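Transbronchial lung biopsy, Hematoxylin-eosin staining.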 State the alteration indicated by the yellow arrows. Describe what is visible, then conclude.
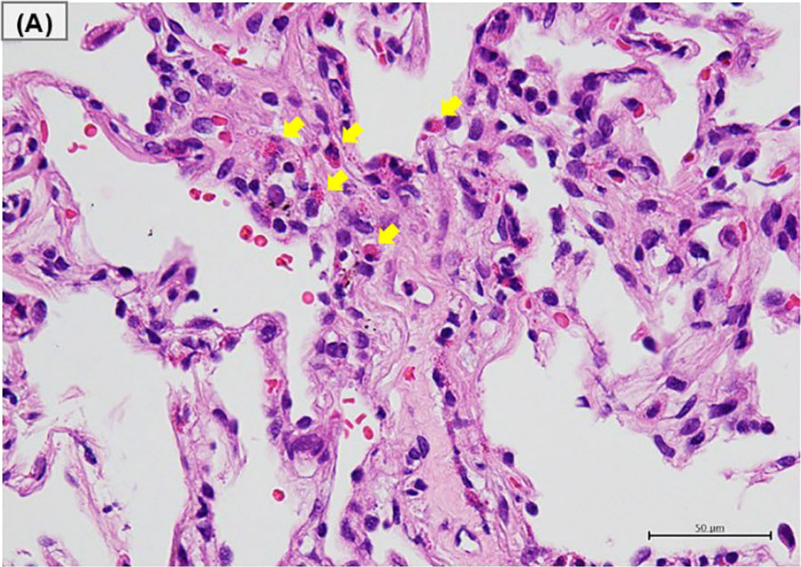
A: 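The arrowed cells have bright red-pink granular cytoplasm. The arrowed cells lie within thickened alveolar walls among other nucleated cells.
Answer: Eosinophilic infiltration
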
